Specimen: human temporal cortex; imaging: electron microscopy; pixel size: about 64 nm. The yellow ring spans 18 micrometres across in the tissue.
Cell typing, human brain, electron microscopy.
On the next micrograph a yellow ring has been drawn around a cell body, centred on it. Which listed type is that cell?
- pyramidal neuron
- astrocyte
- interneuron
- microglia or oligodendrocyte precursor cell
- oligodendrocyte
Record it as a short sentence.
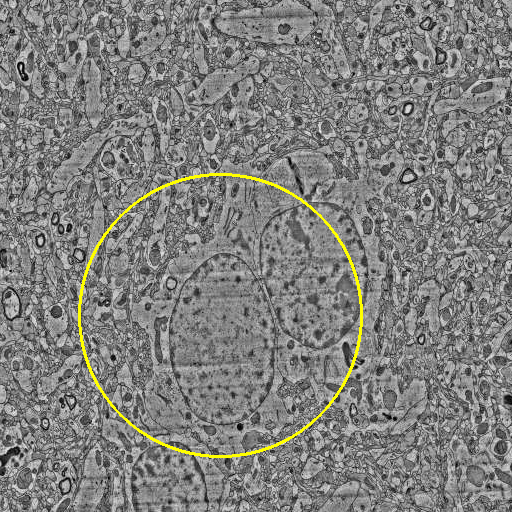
The cell body in the ring's centre belongs to an astrocyte.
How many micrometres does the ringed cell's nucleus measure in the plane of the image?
About 10 by 7 micrometres in this plane.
